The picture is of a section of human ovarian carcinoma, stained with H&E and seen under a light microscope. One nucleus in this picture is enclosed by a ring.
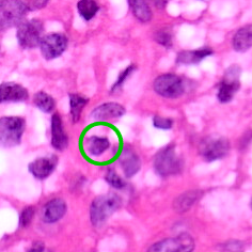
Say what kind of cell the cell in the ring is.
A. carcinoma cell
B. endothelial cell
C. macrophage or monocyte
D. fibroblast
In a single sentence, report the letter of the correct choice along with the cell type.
The correct option is C, and the cell in the ring is a macrophage or monocyte.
